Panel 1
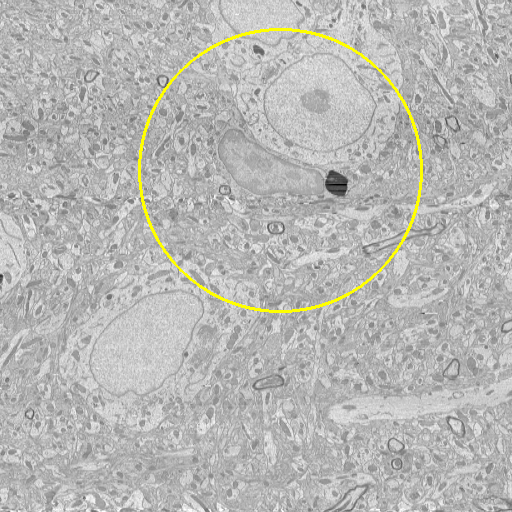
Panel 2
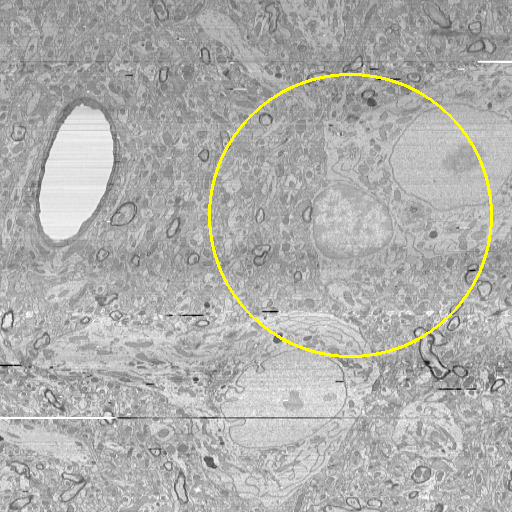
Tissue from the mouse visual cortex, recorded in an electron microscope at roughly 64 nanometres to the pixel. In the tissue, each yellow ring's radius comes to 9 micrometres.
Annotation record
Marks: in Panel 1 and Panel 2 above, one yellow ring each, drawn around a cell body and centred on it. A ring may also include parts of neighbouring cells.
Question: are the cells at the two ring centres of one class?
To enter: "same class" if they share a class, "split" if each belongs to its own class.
split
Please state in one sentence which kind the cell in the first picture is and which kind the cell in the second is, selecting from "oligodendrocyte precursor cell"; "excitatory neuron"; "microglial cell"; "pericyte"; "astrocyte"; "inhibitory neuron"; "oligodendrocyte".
The first ringed cell is a microglial cell, the second ringed cell an oligodendrocyte.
